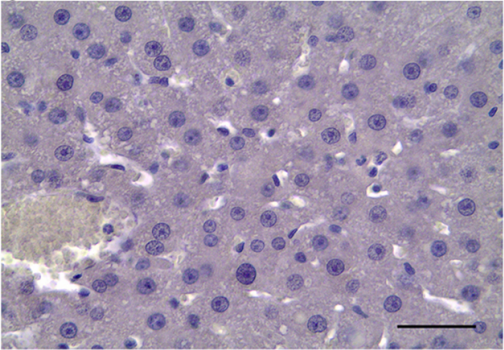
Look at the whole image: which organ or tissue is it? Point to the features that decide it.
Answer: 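Liver. Large polygonal cells with round central nuclei fill the field in sheets. Narrow clefts with small flattened nuclei run between the large cells. A vessel lumen lies at the lower left.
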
